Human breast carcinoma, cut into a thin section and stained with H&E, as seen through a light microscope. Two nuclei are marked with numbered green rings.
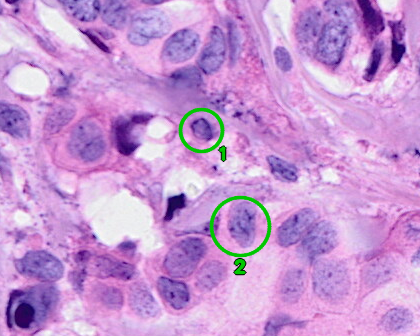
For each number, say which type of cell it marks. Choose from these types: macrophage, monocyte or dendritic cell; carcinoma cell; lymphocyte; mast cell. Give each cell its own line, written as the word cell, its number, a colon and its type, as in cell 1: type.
cell 1: macrophage, monocyte or dendritic cell
cell 2: carcinoma cell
